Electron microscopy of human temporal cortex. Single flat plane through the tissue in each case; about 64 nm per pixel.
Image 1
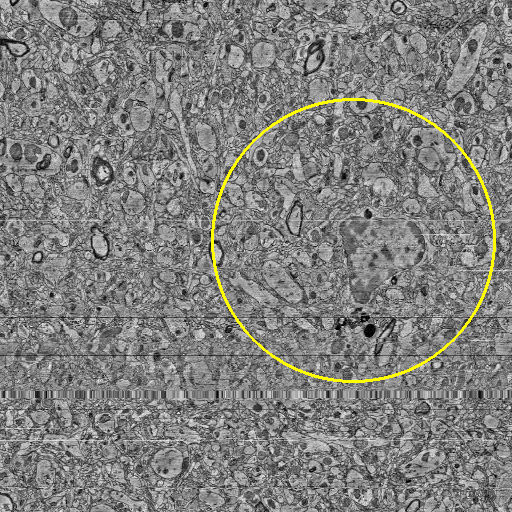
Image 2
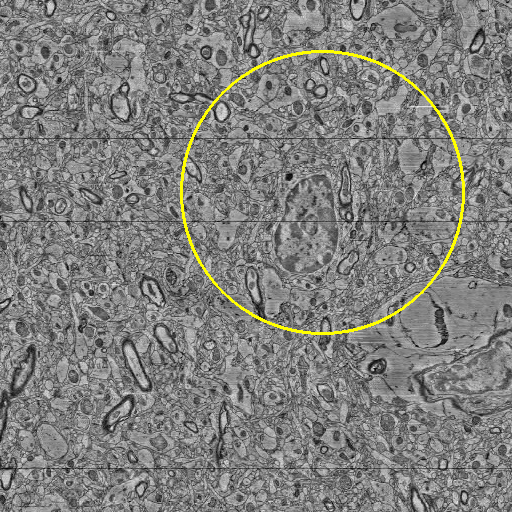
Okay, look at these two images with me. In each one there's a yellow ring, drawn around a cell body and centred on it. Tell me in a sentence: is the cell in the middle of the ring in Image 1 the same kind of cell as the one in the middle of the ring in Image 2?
Yes, they're the same kind of cell.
